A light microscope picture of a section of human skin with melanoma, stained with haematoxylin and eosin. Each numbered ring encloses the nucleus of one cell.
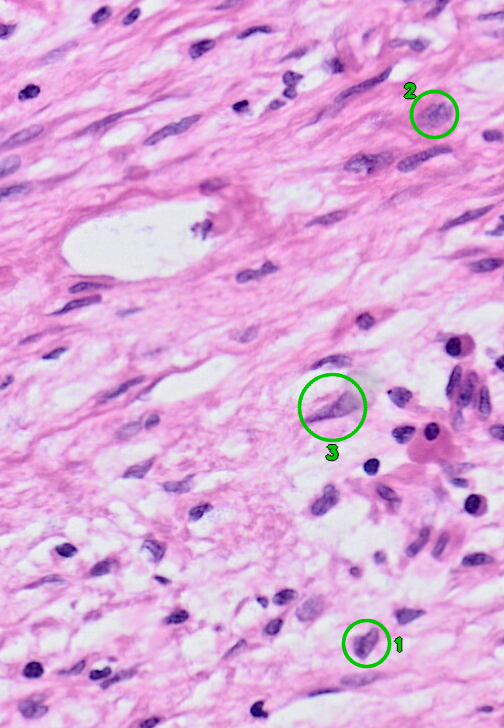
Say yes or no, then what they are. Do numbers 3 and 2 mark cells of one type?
Yes, in short, cells 3 and 2 are both fibroblasts or myofibroblasts.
